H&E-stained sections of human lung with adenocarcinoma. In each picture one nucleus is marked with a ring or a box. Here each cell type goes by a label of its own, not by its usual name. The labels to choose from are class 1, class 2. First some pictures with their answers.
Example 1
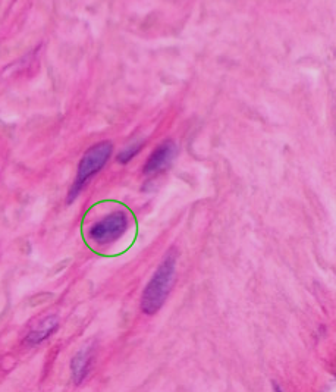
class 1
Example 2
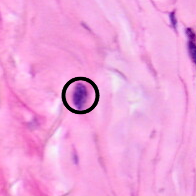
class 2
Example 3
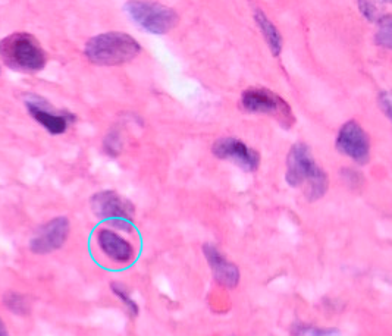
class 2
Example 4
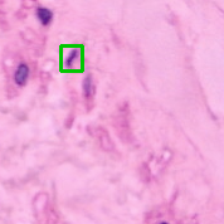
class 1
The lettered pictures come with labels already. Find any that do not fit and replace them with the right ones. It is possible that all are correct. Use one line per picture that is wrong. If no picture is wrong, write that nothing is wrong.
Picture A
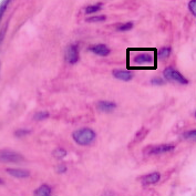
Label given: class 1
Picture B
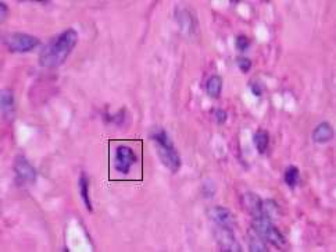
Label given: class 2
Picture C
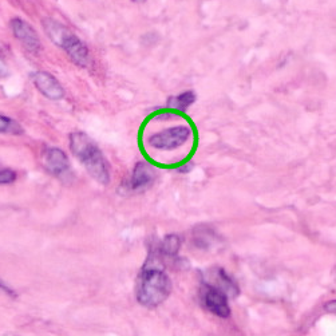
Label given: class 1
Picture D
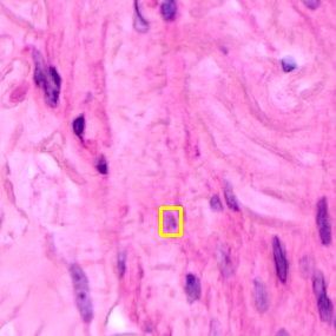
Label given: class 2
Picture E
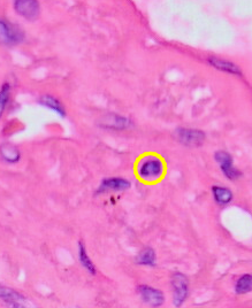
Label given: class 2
C is labelled class 1; correct label: class 2
D is labelled class 2; correct label: class 1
